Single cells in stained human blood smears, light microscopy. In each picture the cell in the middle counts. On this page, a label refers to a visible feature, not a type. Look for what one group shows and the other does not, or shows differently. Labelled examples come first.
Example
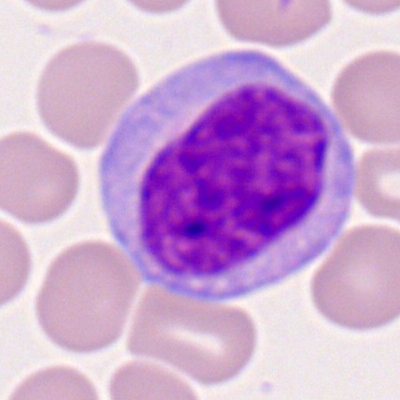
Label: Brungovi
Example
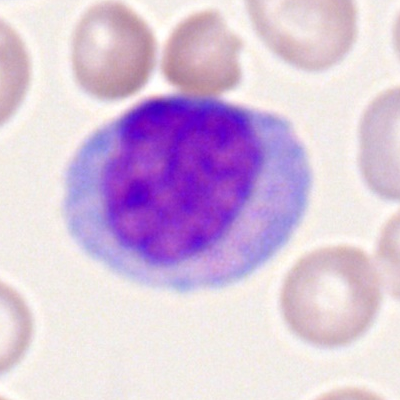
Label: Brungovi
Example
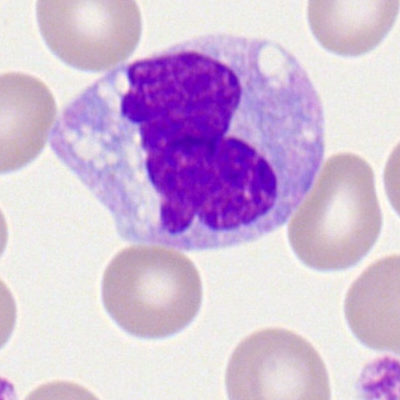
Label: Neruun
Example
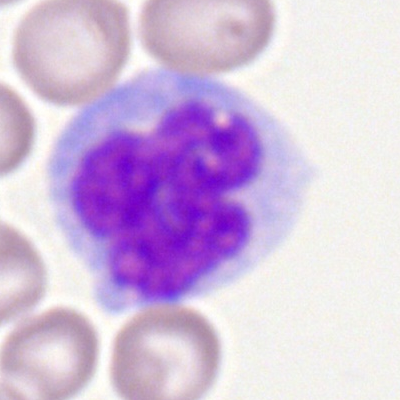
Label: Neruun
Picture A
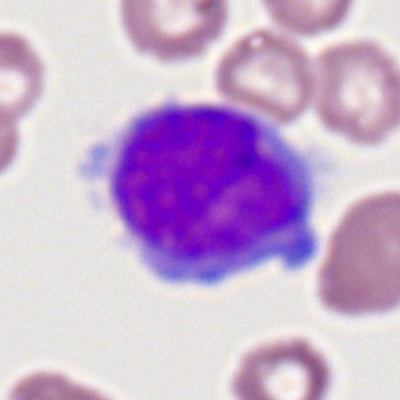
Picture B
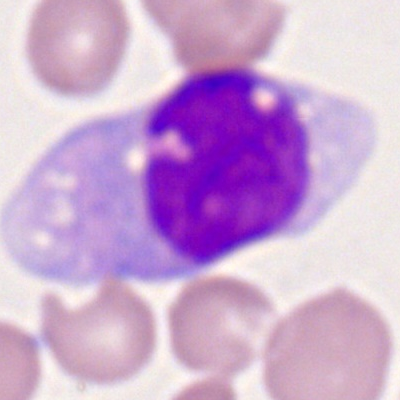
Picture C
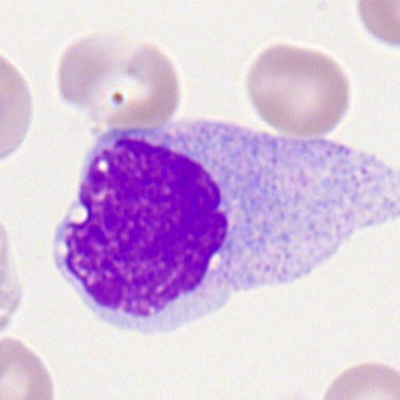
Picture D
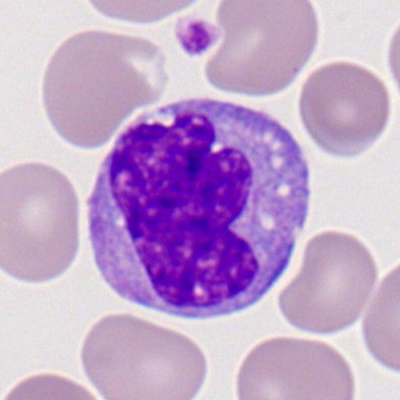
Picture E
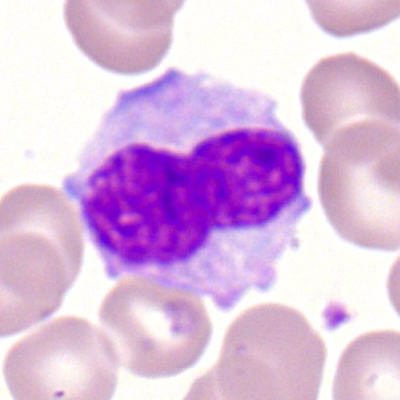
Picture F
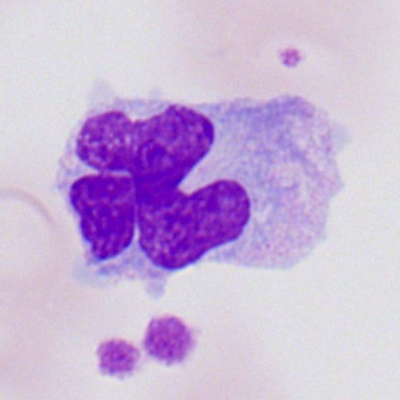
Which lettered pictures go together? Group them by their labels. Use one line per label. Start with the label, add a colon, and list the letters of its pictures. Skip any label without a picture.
Brungovi: A, B, C
Neruun: D, E, F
